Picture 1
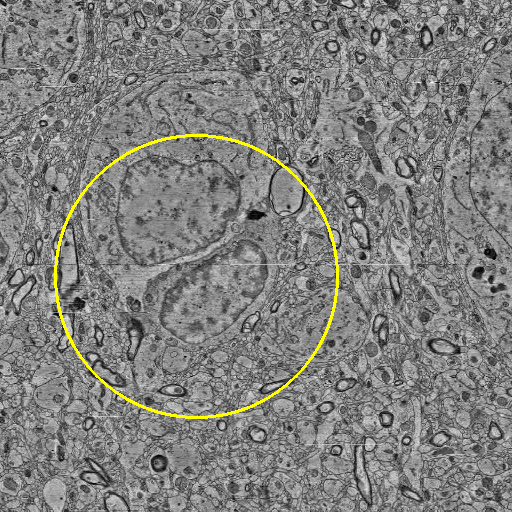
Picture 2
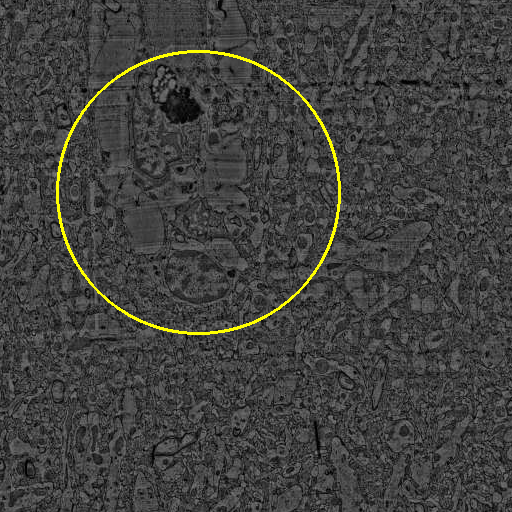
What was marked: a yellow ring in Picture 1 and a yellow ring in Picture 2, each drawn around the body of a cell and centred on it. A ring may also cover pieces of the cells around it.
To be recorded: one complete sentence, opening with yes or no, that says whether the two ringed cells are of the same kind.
Yes, the two ringed cells are of the same kind.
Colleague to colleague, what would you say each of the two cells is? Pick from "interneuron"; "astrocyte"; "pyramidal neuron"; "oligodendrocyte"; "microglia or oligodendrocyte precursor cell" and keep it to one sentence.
The first and the second cell are each an oligodendrocyte.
